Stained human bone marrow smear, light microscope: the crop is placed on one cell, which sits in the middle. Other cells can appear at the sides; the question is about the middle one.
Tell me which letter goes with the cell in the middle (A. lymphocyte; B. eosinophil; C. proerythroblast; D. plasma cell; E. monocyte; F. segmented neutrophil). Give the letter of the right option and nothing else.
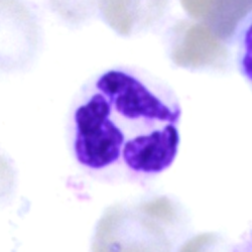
F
